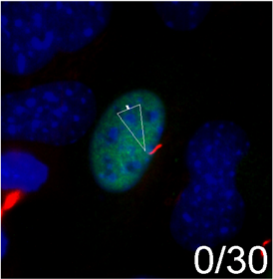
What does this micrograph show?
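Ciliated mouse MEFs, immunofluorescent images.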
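In the central cell the nucleus is filled with green, while little green is seen around it in the cytoplasm. A short red rod, a primary cilium, lies at the lower right edge of this nucleus, and an open white arrowhead points at its tip, which lacks green. Further red rods lie beside neighbouring cells at the left and lower right.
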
